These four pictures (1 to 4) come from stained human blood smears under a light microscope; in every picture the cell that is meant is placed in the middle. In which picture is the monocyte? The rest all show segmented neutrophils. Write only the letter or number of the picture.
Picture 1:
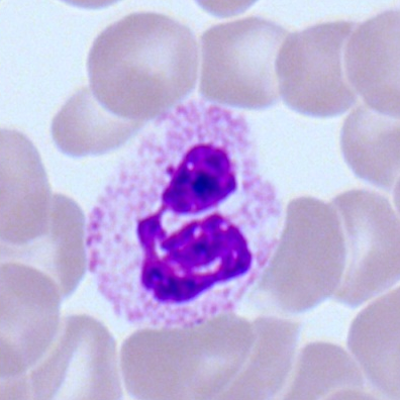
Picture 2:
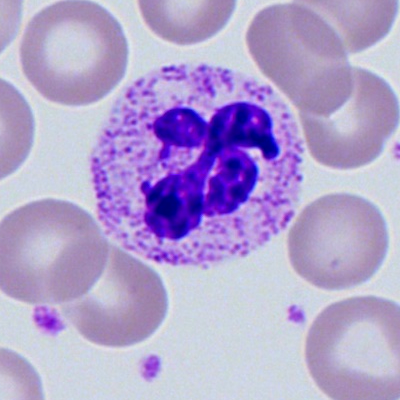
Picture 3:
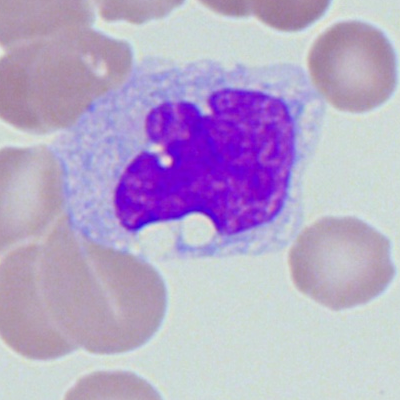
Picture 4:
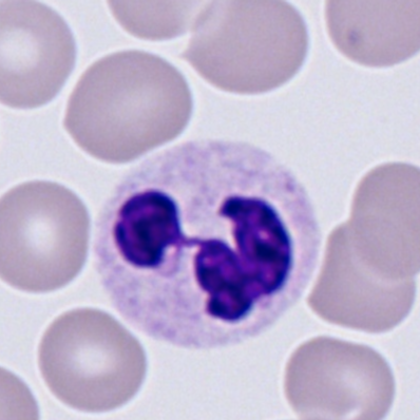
3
